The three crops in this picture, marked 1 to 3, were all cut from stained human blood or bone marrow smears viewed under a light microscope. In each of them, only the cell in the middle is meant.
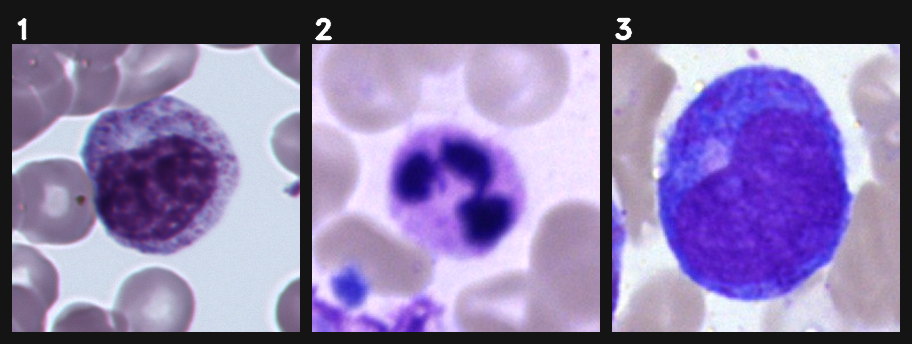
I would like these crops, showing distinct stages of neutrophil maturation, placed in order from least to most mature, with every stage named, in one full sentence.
The cells, arranged from least to most mature, are crop 3 (a promyelocyte), crop 1 (a metamyelocyte) and crop 2 (a segmented neutrophil).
